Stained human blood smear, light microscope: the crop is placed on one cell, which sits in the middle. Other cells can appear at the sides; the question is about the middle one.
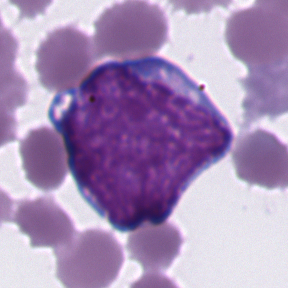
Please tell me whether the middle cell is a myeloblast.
yes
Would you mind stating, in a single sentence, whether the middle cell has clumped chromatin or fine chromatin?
The chromatin remains finely textured, with no coarse clumps to speak of.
